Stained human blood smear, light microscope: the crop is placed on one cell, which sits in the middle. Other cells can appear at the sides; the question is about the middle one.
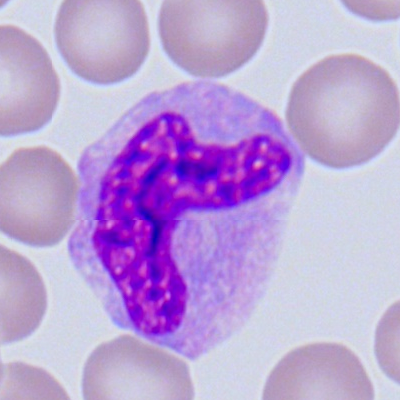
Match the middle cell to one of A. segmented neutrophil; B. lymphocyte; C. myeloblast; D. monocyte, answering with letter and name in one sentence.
Identified correctly by option D, the cell in the middle is a monocyte.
